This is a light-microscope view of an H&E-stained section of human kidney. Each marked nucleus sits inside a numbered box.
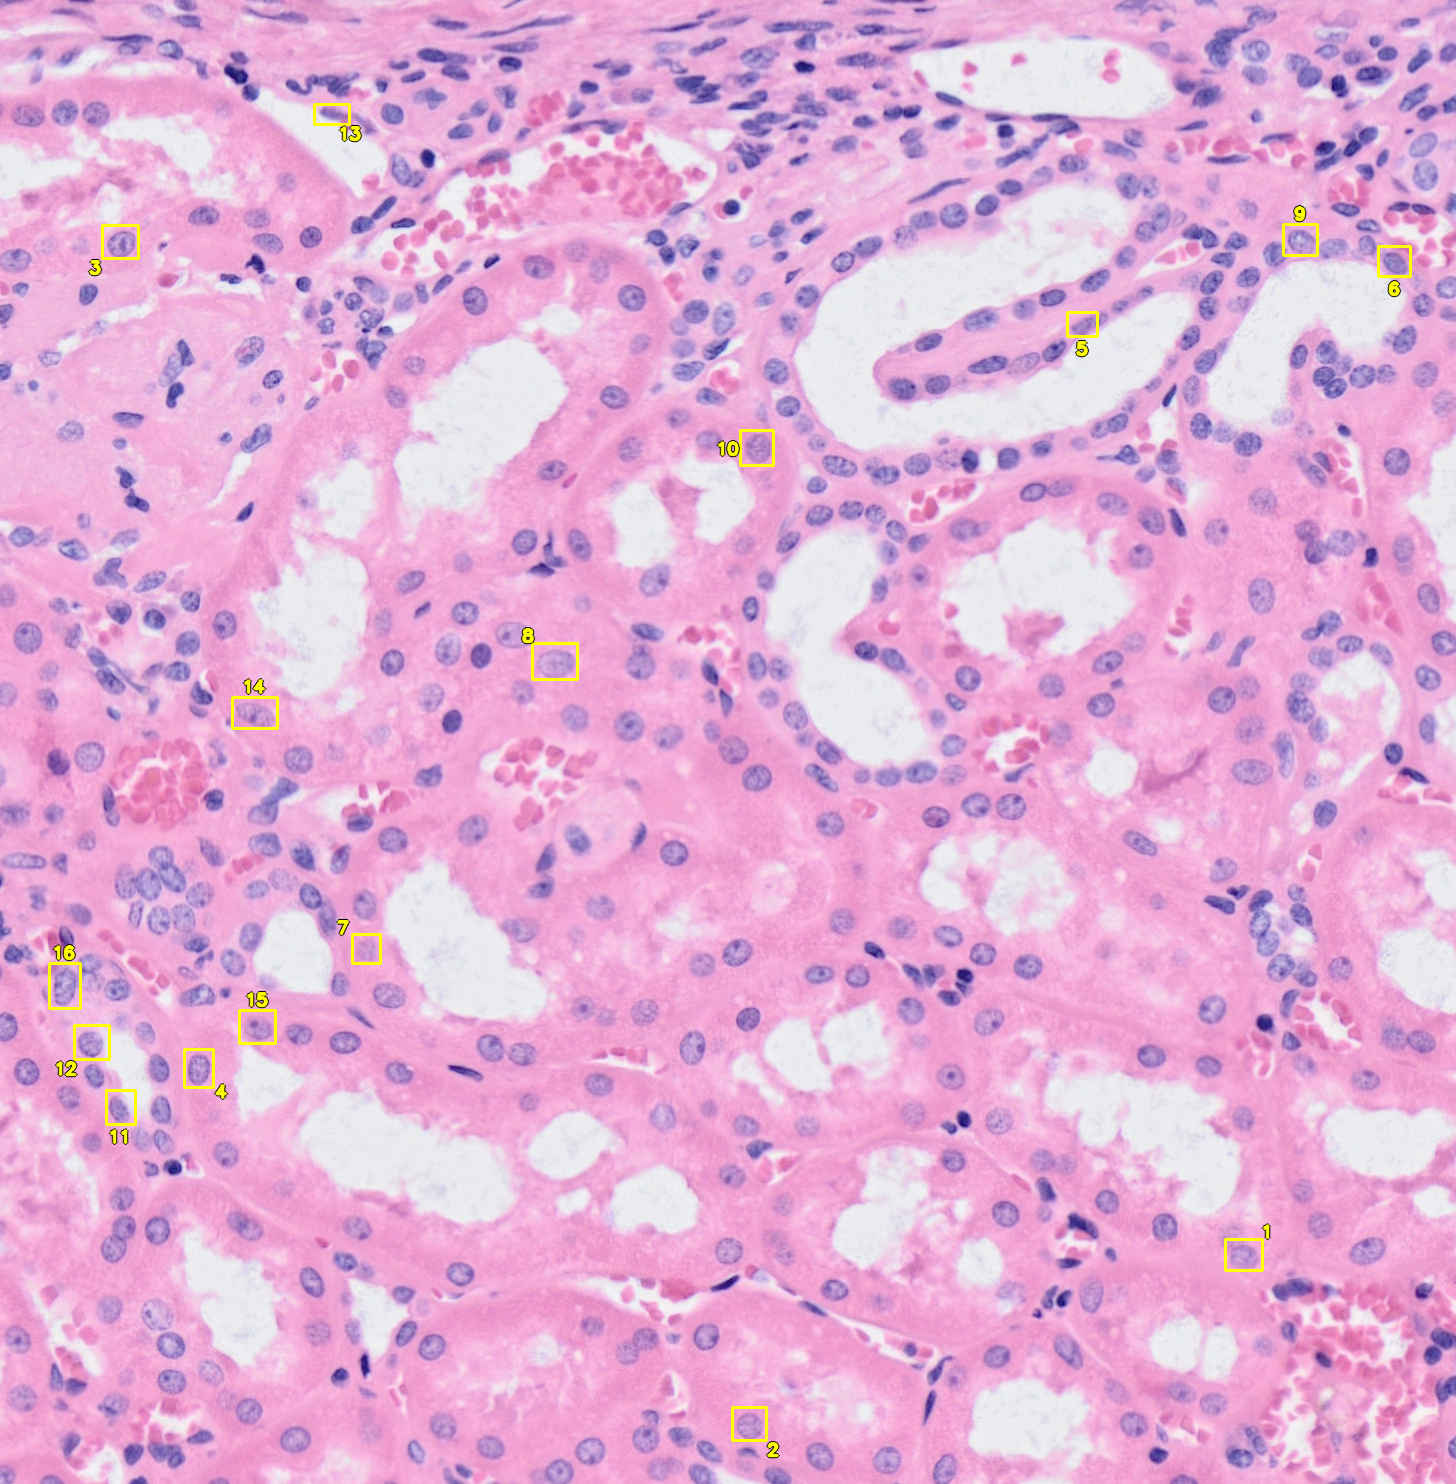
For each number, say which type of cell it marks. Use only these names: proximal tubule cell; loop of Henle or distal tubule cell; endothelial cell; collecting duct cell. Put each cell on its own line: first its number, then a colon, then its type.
1: proximal tubule cell
2: proximal tubule cell
3: proximal tubule cell
4: proximal tubule cell
5: collecting duct cell
6: collecting duct cell
7: proximal tubule cell
8: proximal tubule cell
9: collecting duct cell
10: proximal tubule cell
11: collecting duct cell
12: collecting duct cell
13: endothelial cell
14: proximal tubule cell
15: proximal tubule cell
16: collecting duct cell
